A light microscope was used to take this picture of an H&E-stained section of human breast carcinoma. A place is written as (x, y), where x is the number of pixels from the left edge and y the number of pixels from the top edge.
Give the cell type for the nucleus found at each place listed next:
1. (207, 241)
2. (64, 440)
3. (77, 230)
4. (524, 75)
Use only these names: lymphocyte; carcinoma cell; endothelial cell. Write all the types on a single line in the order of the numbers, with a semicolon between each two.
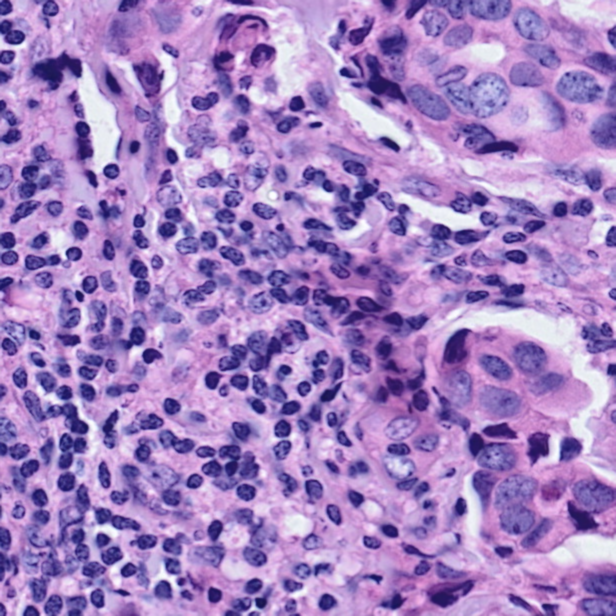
lymphocyte; lymphocyte; lymphocyte; carcinoma cell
